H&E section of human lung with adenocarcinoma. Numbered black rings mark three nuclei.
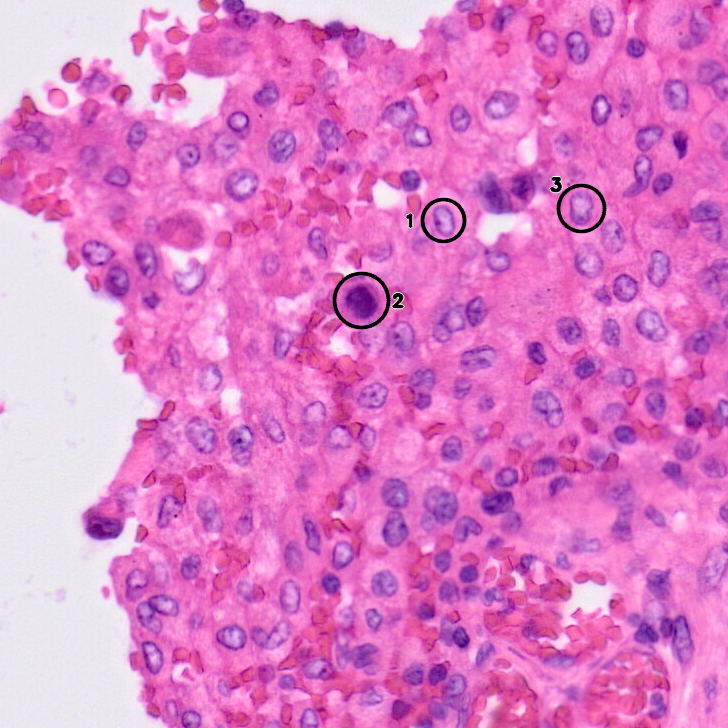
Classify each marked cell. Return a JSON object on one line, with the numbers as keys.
{"1": "macrophage or monocyte", "2": "carcinoma cell", "3": "macrophage or monocyte"}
